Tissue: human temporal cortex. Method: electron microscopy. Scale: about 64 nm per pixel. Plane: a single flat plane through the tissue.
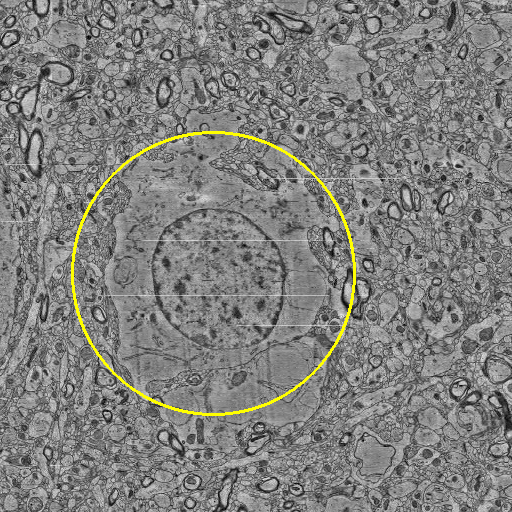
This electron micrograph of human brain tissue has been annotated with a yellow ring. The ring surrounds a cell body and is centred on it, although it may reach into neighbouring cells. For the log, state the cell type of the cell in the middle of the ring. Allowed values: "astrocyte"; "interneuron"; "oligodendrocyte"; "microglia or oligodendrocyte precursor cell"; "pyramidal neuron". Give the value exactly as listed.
astrocyte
